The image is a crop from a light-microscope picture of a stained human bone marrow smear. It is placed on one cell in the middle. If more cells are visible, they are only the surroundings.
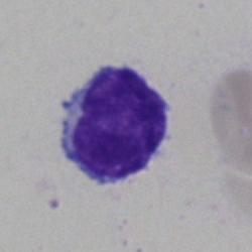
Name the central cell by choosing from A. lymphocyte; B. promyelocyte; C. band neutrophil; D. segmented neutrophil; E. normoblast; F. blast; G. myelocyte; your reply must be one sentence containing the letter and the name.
The correct option here is A; the middle cell is a lymphocyte.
